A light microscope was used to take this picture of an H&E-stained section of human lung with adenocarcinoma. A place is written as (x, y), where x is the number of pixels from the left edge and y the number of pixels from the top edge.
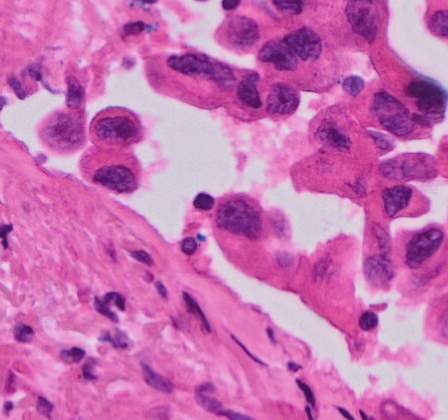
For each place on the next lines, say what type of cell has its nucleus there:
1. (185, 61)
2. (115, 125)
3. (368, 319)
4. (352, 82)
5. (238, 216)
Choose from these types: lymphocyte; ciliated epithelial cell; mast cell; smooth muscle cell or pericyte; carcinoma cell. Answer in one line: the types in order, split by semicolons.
carcinoma cell; carcinoma cell; lymphocyte; lymphocyte; carcinoma cell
